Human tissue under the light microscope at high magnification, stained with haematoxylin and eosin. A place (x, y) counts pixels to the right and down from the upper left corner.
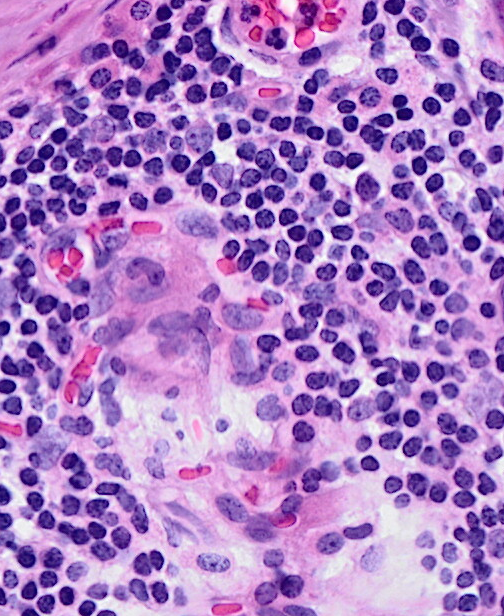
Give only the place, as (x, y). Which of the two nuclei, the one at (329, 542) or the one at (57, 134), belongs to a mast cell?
(329, 542)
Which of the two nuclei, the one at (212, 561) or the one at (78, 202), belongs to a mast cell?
(212, 561)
